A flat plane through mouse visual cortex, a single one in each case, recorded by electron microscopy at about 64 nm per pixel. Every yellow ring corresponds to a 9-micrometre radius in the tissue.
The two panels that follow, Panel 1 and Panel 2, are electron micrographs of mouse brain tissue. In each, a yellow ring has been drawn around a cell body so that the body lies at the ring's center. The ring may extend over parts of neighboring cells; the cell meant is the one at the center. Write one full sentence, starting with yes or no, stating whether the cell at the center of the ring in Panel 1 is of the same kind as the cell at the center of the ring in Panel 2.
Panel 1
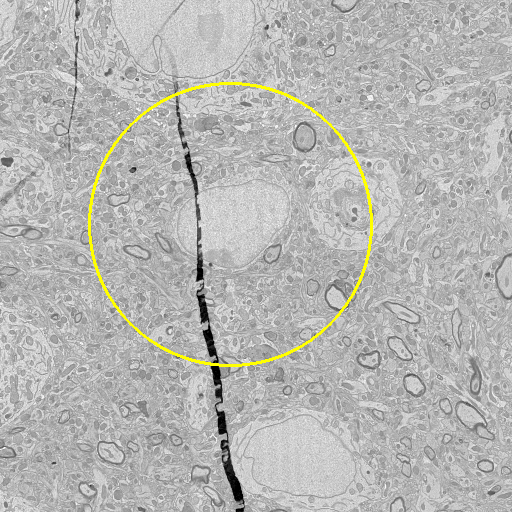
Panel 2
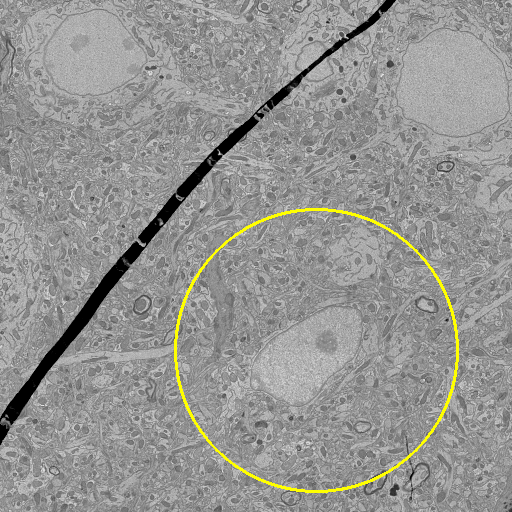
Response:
Yes, the cells in both panels are of the same kind.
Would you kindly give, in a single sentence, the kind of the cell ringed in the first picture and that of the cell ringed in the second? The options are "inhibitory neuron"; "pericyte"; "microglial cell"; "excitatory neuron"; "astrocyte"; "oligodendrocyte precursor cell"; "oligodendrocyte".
Each cell, in the first picture and the second, is an astrocyte.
